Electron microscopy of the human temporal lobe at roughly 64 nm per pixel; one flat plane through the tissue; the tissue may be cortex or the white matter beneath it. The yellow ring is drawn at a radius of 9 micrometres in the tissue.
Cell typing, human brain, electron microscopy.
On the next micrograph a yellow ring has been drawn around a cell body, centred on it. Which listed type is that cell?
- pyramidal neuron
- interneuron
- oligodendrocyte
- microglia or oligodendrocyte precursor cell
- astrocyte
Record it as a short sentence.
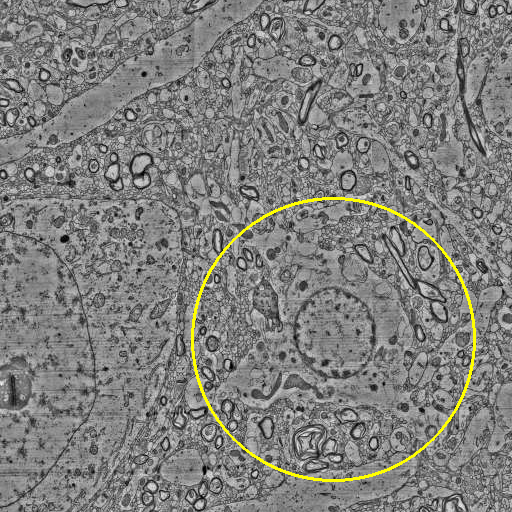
The cell body in the ring's centre belongs to an astrocyte.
